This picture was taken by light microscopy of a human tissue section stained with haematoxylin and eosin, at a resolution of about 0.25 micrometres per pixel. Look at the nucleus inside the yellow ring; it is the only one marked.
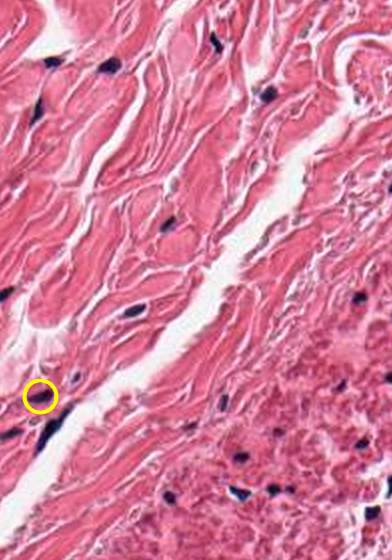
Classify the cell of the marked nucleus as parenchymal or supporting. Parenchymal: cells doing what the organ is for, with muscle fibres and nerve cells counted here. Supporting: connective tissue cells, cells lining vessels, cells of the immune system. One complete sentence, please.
The marked nucleus is assigned to a supporting cell.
